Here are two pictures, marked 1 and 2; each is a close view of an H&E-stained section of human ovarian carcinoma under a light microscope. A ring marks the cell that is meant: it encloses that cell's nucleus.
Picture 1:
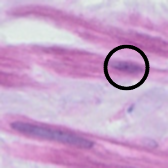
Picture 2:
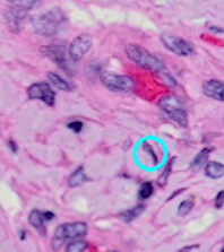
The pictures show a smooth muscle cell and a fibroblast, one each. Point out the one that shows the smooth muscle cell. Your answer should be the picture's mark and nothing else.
1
